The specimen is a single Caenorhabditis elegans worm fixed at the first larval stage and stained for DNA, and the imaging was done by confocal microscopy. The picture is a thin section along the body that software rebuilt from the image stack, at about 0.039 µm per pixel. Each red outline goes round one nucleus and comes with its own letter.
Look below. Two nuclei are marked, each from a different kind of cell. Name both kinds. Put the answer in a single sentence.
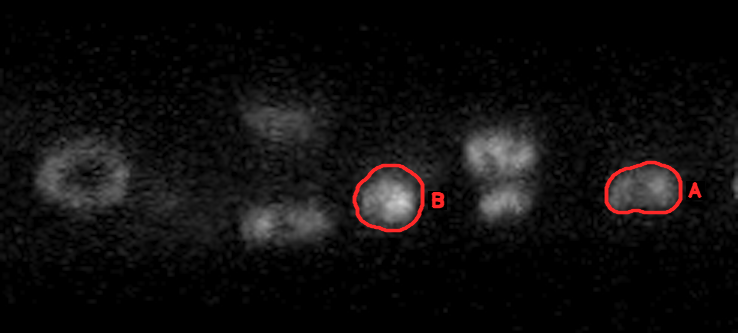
The nucleus A is that of an intestinal cell, while B is that of a body wall muscle cell.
